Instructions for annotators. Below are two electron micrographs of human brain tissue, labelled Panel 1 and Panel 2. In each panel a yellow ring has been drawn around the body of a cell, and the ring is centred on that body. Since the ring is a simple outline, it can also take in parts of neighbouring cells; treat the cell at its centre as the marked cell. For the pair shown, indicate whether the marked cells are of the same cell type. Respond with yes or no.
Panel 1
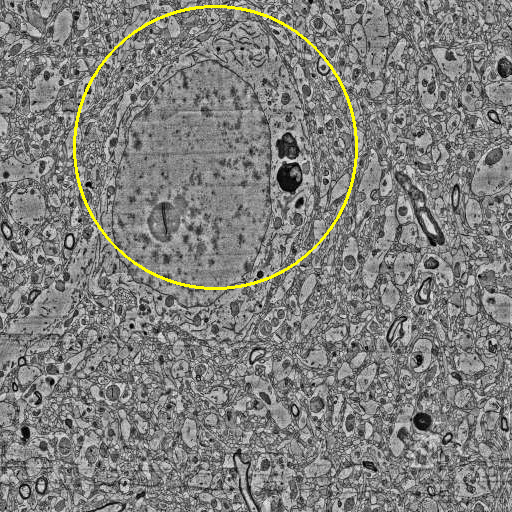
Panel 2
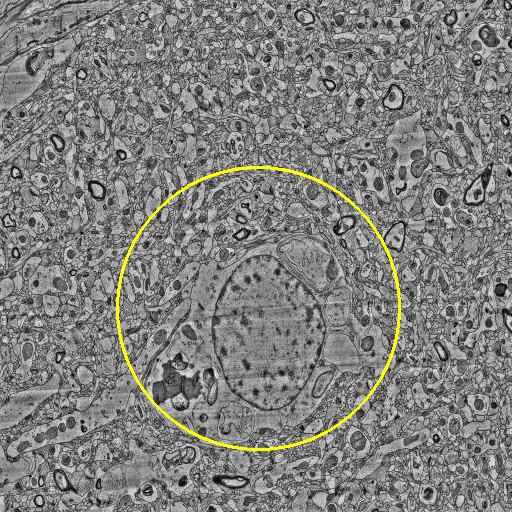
no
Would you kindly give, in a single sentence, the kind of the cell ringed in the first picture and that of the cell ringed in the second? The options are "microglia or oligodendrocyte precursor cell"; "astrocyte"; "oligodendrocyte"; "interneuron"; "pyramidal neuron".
The second cell is an astrocyte, and the first cell is a pyramidal neuron.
